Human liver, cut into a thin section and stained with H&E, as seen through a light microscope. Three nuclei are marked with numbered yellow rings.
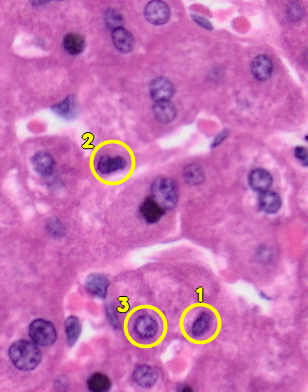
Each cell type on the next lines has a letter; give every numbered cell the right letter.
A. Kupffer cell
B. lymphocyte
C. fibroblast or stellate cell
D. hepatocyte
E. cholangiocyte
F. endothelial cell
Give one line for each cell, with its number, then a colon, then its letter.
1: C
2: A
3: D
